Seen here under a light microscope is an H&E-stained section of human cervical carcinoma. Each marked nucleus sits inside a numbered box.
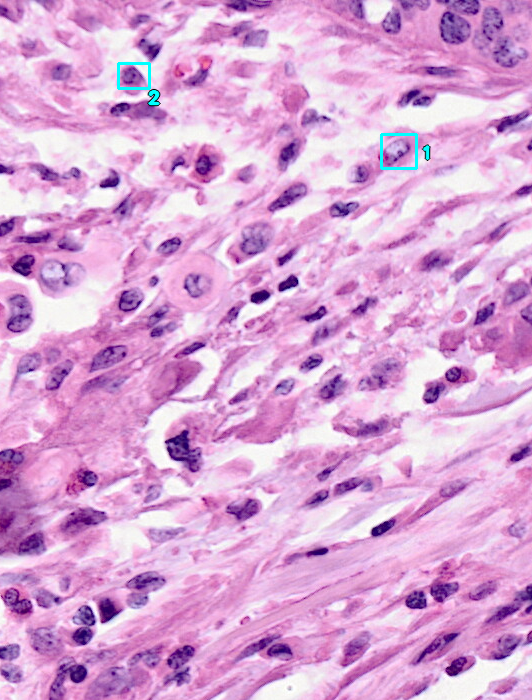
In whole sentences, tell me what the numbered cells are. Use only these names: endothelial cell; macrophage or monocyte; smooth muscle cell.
Cell 1 is an endothelial cell and cell 2 is a macrophage or monocyte.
